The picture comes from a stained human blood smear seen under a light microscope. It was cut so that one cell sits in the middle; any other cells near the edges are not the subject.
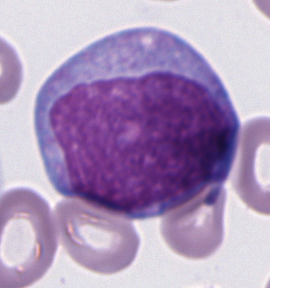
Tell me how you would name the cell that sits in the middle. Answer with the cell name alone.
promyelocyte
